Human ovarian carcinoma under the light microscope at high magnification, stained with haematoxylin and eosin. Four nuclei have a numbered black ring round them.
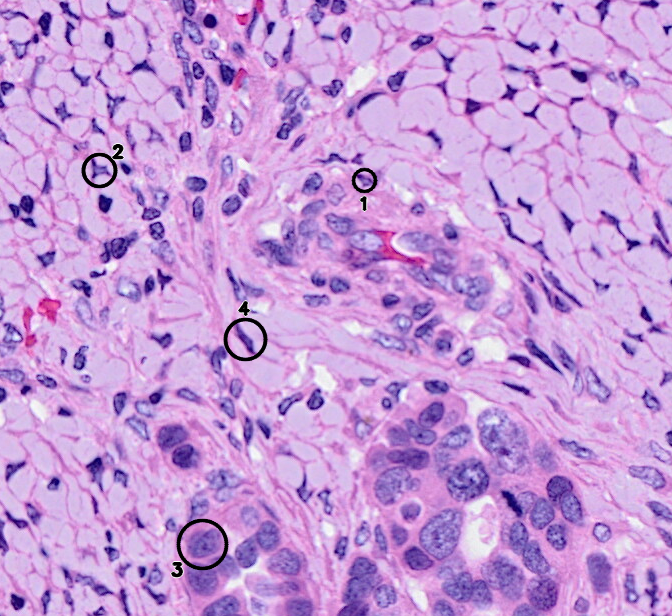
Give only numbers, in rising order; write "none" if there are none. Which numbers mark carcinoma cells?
3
